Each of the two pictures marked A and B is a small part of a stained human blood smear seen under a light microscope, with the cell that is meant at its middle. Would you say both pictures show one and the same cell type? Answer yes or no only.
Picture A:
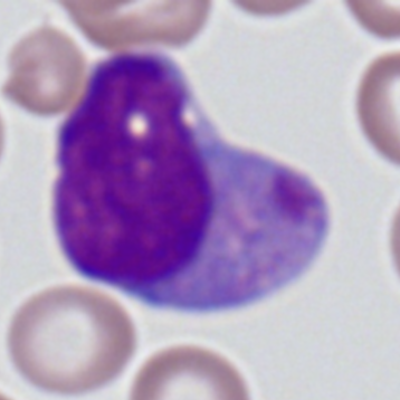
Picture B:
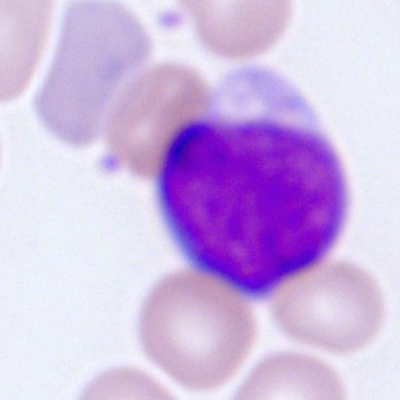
no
